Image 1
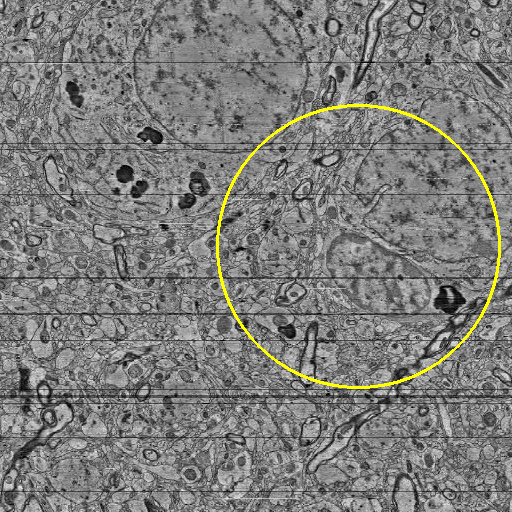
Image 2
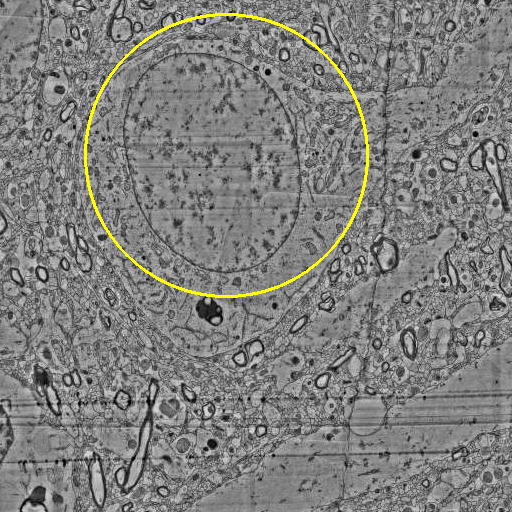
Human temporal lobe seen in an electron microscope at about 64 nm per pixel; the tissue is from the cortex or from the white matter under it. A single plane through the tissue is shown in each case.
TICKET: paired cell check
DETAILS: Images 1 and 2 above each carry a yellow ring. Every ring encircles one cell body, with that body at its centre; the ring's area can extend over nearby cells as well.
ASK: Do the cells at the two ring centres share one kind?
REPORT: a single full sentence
No, the ring-centre cells of Images 1 and 2 belong to two kinds.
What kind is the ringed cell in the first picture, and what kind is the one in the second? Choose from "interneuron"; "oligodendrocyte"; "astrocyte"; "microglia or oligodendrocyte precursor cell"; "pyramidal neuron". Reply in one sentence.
The first cell is an oligodendrocyte; the second is a pyramidal neuron.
